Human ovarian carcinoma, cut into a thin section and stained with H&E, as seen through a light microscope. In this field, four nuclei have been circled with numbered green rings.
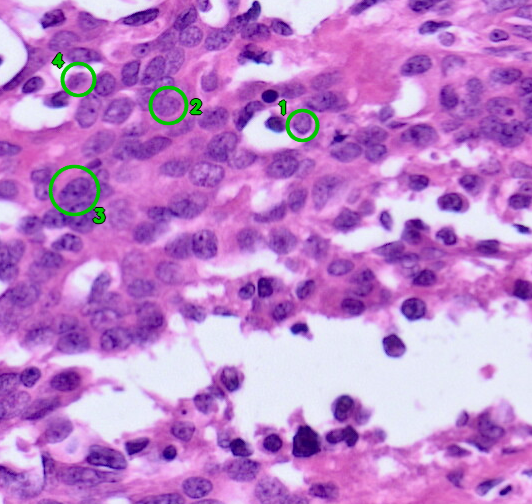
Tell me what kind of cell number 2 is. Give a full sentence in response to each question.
The cell carrying label 2 is identified as a carcinoma cell.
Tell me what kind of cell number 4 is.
The cell indicated with the number 4 is classed as a carcinoma cell.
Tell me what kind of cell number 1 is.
In this section, the cell numbered 1 is a macrophage or monocyte.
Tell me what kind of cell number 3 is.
Cell 3, as marked in the section, is a carcinoma cell.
